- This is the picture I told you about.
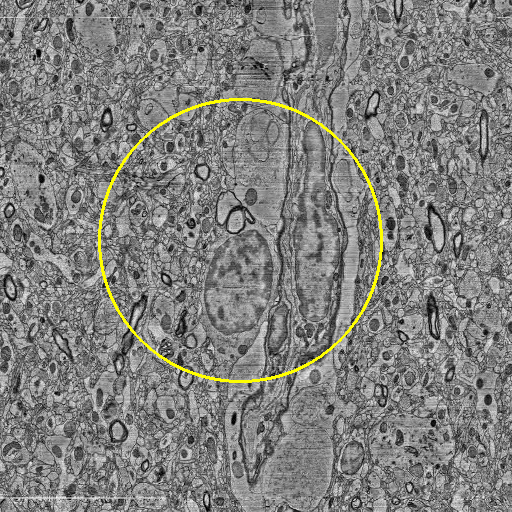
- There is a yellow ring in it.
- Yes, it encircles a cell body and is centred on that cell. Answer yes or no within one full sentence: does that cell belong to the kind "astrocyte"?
No, the cell on which the yellow ring is centred belongs to a different kind.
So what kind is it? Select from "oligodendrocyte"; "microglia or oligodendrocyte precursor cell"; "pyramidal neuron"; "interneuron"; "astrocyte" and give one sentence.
Here, the ring is centred on an oligodendrocyte instead.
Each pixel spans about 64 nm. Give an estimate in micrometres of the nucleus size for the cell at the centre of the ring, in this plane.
The ringed cell's nucleus is roughly 7 by 4 micrometres and clearly longer than it is wide in this plane.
